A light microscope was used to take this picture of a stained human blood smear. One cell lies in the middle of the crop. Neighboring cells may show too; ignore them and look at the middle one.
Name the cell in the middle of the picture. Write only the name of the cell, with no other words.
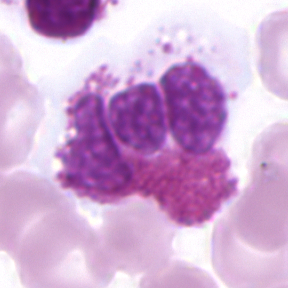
eosinophil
